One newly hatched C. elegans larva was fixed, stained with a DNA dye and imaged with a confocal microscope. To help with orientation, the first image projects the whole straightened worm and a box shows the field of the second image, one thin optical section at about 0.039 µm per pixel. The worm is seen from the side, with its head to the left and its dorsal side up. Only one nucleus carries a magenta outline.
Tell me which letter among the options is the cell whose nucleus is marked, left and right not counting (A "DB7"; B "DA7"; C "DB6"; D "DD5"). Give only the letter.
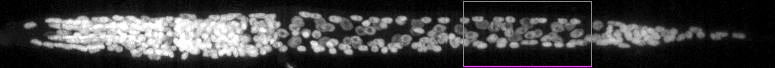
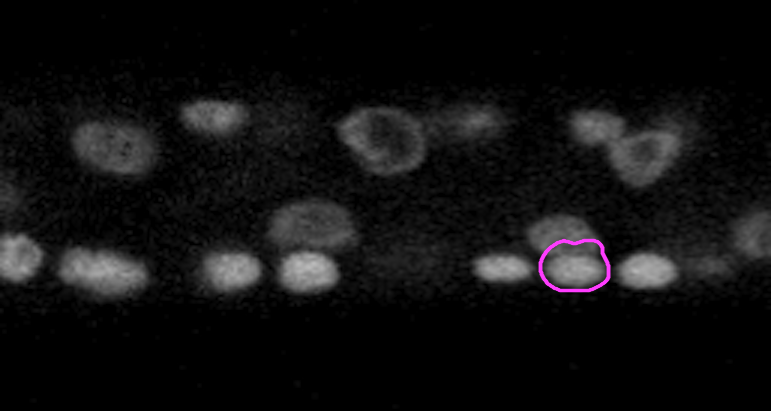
A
